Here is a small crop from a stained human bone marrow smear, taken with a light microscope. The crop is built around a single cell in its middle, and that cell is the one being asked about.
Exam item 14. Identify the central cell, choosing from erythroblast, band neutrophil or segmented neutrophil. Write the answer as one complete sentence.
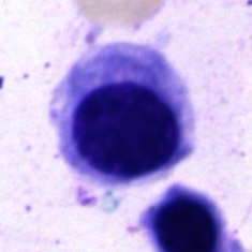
In the middle of this smear crop is an erythroblast.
